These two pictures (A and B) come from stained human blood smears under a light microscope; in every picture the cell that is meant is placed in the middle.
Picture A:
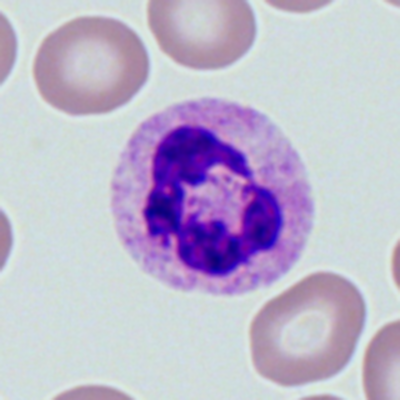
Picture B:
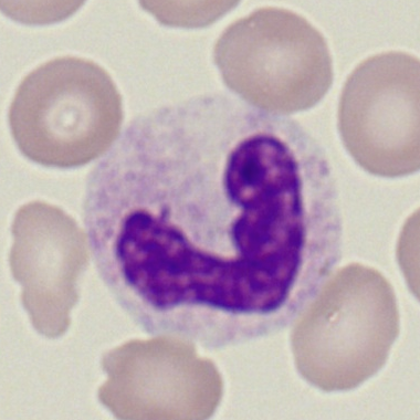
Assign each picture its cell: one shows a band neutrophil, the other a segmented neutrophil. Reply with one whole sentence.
Picture A shows a segmented neutrophil and picture B shows a band neutrophil.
